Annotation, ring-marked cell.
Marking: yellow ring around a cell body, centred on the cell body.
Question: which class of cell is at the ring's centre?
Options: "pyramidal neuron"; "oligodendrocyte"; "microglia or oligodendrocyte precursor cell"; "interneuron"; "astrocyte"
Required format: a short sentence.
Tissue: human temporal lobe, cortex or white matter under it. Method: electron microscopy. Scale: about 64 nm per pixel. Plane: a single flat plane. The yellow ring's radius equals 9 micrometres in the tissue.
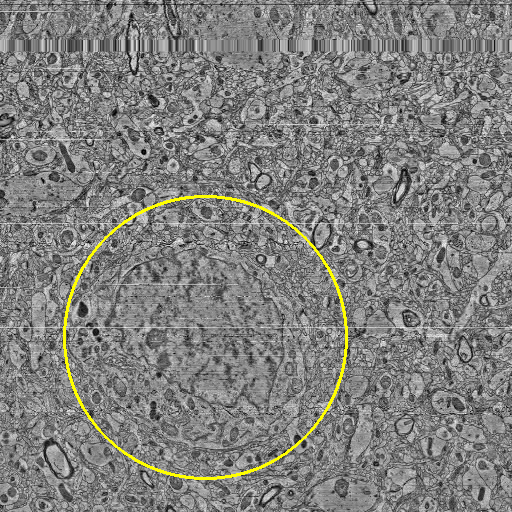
At the ring's centre is an interneuron.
